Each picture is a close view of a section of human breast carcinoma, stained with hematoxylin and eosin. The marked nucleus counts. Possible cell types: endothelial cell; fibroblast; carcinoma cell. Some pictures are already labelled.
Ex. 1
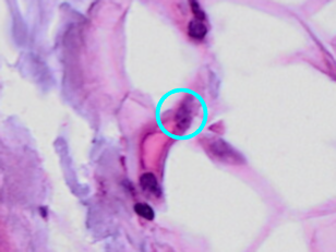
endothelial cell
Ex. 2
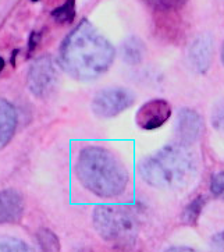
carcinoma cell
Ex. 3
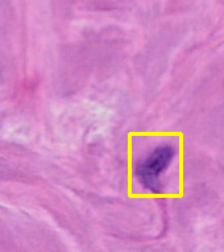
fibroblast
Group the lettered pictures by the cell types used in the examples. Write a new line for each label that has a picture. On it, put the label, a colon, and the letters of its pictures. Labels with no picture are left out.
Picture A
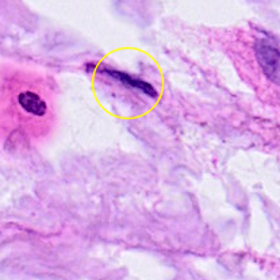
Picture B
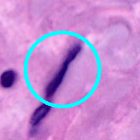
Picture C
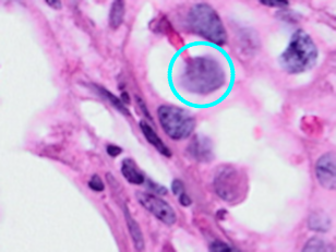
fibroblast: A, B
carcinoma cell: C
